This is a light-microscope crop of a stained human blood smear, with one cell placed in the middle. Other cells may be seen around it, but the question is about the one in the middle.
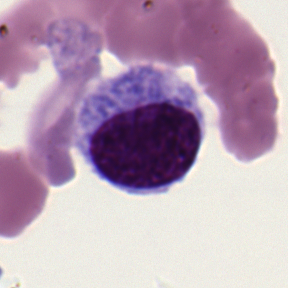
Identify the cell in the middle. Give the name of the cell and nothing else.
hairy cell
